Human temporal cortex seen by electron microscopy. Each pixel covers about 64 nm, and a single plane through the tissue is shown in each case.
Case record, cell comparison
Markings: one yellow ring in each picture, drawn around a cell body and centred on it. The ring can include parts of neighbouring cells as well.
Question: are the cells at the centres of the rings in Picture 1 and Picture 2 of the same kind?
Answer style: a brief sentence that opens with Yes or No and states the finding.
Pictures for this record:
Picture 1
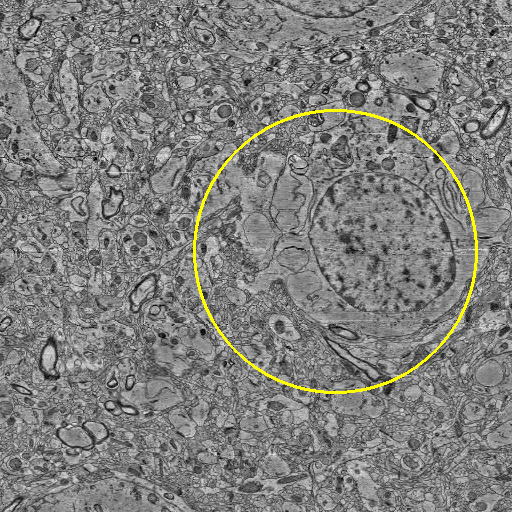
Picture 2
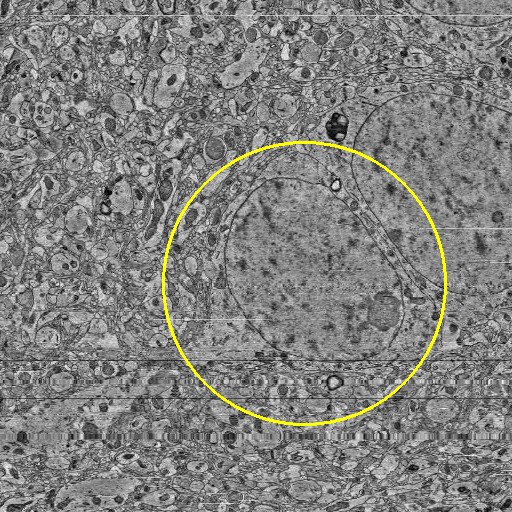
No, the cells in Picture 1 and Picture 2 are of two kinds.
